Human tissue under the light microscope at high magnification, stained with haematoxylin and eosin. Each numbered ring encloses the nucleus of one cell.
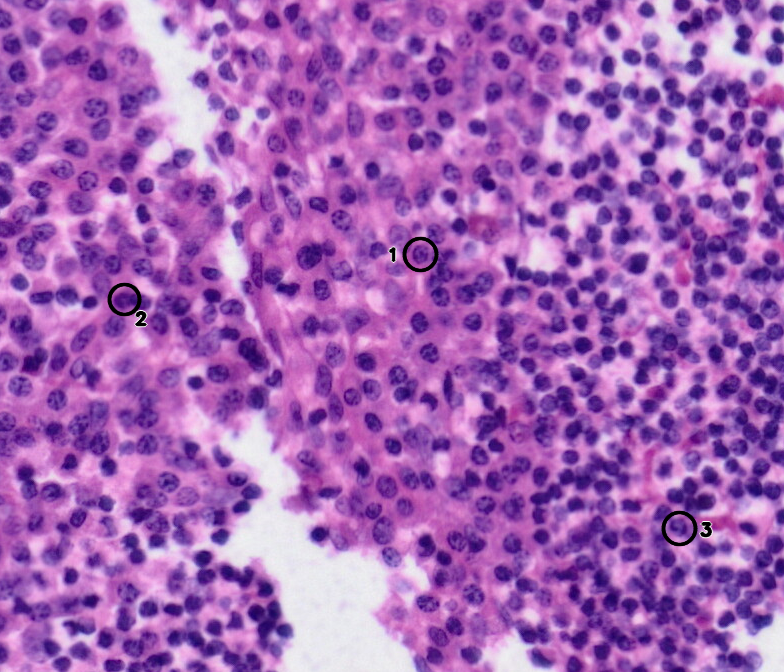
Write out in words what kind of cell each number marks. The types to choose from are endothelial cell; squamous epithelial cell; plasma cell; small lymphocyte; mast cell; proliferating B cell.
Cells 1 and 2 are plasma cells. Cell 3 is a small lymphocyte.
